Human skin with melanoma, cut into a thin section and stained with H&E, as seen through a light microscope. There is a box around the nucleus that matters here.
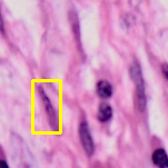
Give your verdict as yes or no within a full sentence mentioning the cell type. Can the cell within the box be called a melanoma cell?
No, the identity of the cell within the box is a fibroblast or myofibroblast, not a melanoma cell.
